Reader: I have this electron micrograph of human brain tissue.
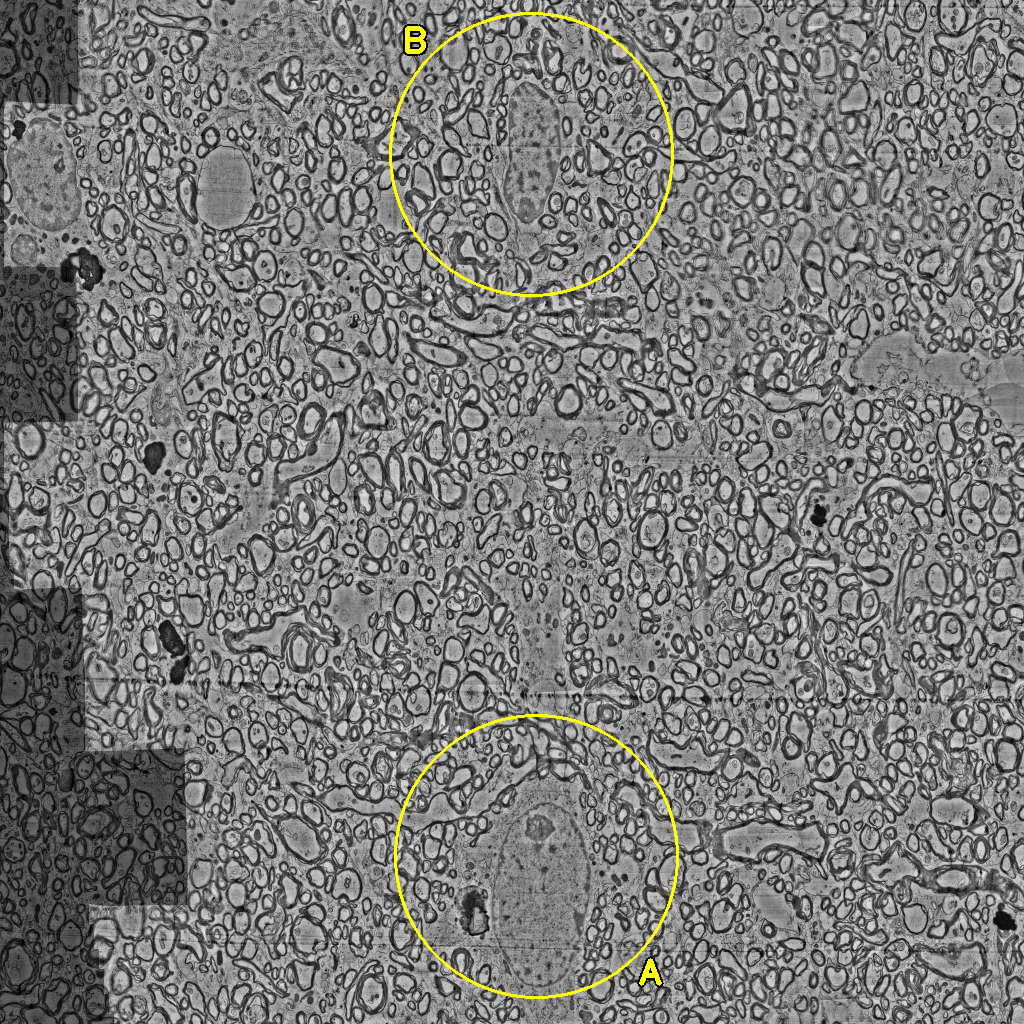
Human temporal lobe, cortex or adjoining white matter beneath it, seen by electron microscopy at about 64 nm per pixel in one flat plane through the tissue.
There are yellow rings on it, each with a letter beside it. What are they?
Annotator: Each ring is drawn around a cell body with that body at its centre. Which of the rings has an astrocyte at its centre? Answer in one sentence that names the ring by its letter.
That cell sits at the centre of ring A.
